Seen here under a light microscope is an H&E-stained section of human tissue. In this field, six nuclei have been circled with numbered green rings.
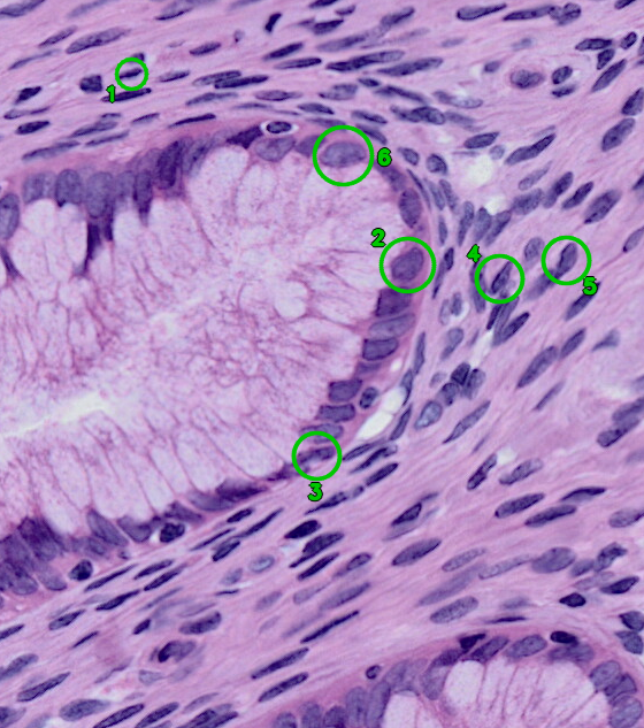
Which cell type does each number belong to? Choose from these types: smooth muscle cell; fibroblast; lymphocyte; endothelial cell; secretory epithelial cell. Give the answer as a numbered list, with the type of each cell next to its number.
1. fibroblast
2. secretory epithelial cell
3. secretory epithelial cell
4. fibroblast
5. fibroblast
6. secretory epithelial cell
